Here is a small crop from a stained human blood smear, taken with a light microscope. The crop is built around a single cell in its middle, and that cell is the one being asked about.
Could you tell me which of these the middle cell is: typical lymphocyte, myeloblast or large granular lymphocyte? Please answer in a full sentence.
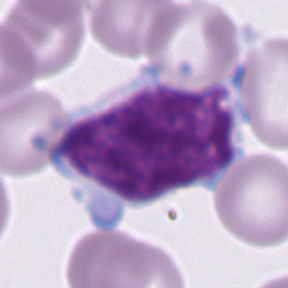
This crop's central cell is a typical lymphocyte.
